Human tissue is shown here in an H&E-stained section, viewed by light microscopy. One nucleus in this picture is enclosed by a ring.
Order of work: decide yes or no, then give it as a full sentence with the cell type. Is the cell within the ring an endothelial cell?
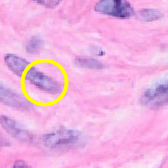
Yes, an endothelial cell is the identity of the cell within the ring in this section.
